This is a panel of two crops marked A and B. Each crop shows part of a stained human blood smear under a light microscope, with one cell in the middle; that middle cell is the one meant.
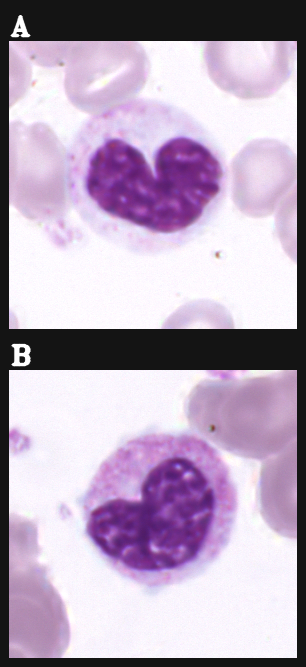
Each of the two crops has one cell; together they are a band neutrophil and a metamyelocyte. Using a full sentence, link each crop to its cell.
Crop A is a band neutrophil, and crop B is a metamyelocyte.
